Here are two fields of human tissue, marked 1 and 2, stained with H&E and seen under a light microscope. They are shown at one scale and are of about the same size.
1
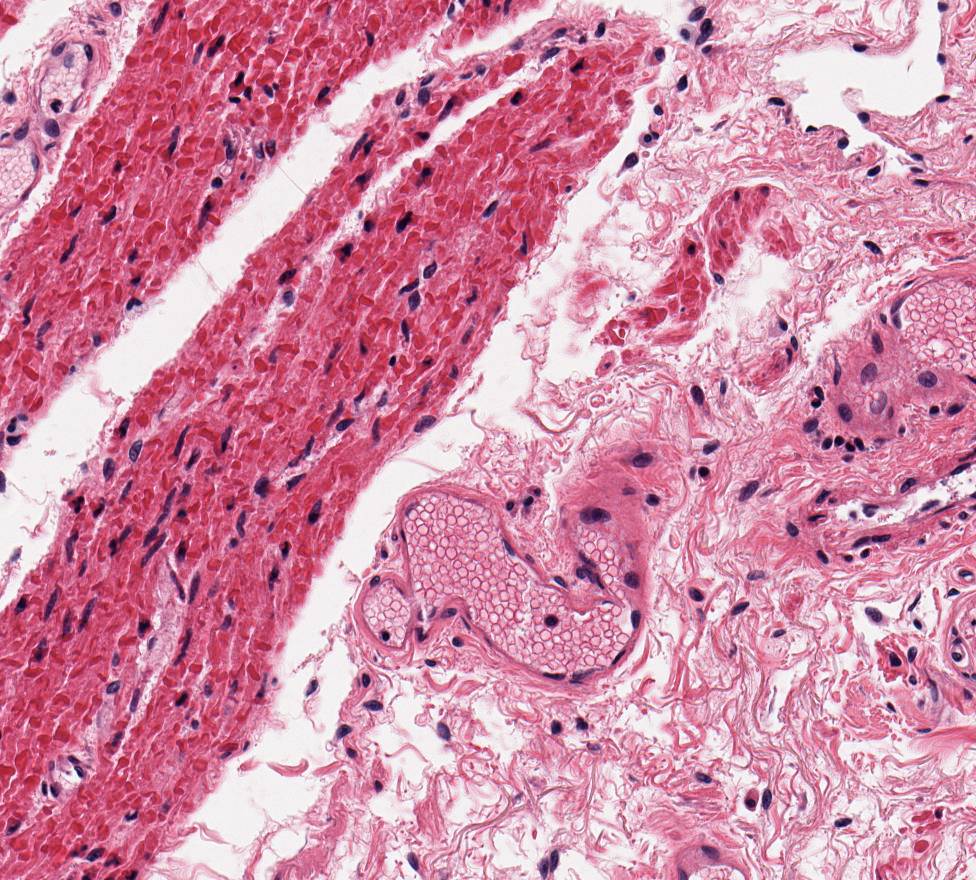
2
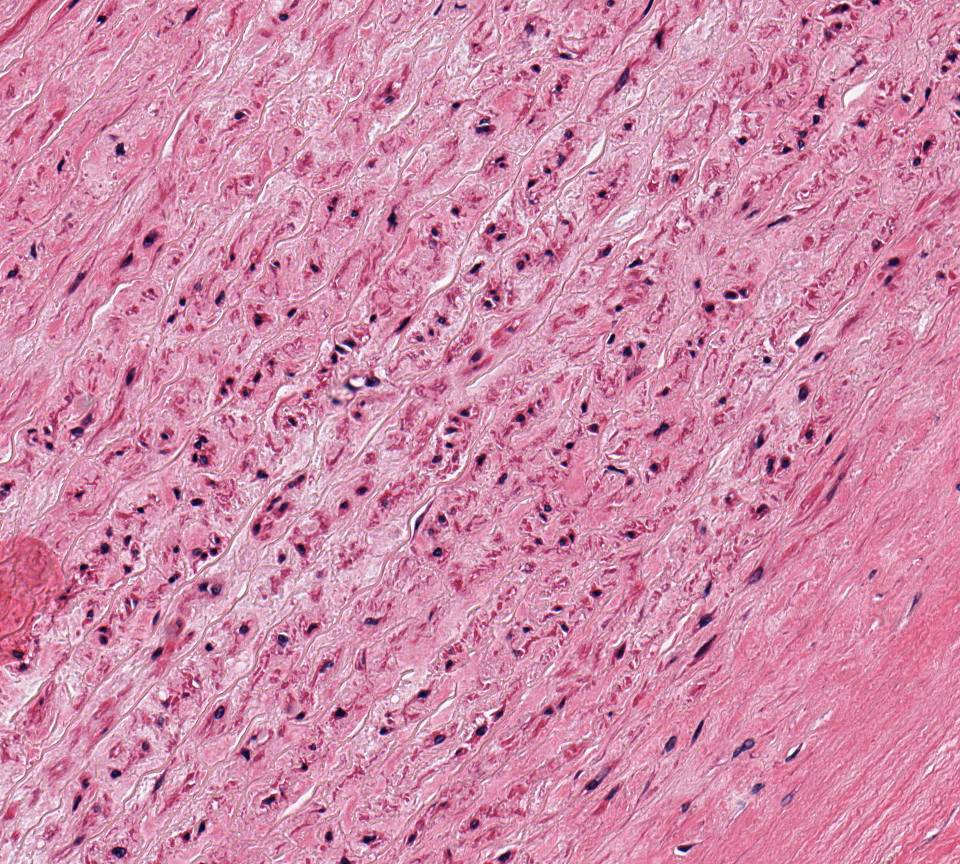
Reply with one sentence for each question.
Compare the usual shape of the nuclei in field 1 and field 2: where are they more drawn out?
On the whole the nuclei of field 1 are more drawn out than those of field 2.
